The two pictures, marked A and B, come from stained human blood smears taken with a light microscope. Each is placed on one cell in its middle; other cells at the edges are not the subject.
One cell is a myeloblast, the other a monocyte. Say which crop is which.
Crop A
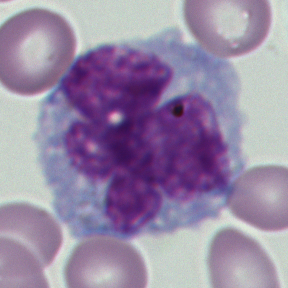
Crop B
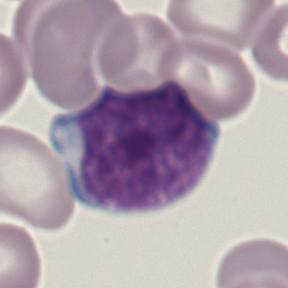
A: monocyte
B: myeloblast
